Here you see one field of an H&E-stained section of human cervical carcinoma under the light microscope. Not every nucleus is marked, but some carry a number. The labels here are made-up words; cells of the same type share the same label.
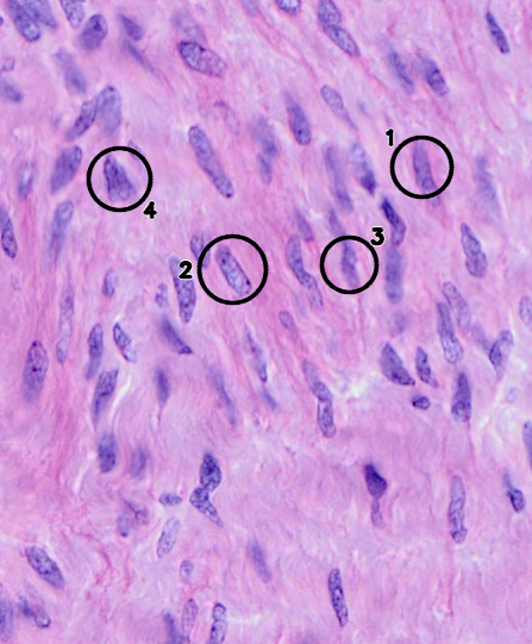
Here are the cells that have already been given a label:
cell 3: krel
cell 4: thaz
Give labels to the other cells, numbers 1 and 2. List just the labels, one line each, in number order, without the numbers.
krel
krel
